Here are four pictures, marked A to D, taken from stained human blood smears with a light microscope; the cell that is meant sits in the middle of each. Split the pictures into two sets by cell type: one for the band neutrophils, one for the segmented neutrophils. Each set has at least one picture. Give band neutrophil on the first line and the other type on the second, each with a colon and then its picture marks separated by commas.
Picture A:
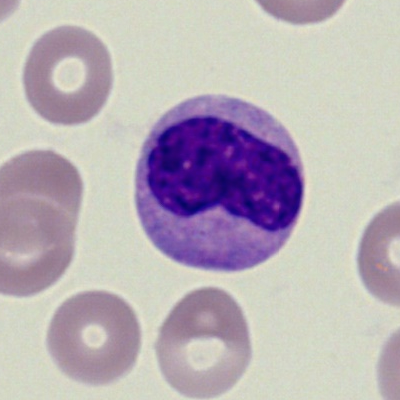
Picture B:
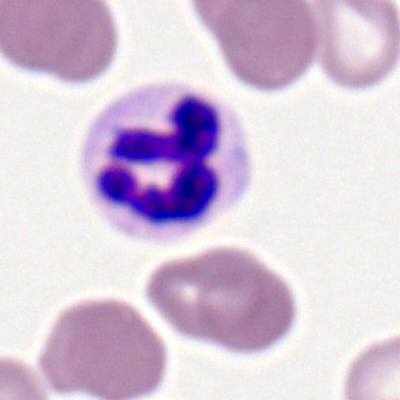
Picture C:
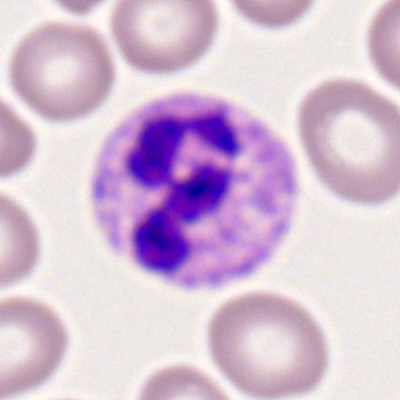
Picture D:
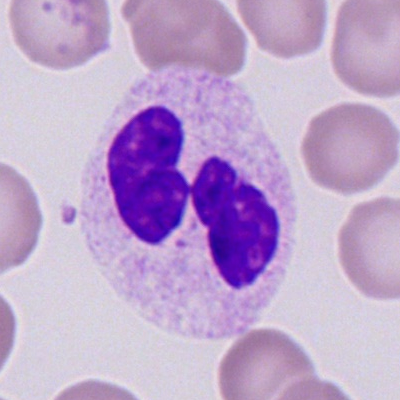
band neutrophil: A
segmented neutrophil: B, C, D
